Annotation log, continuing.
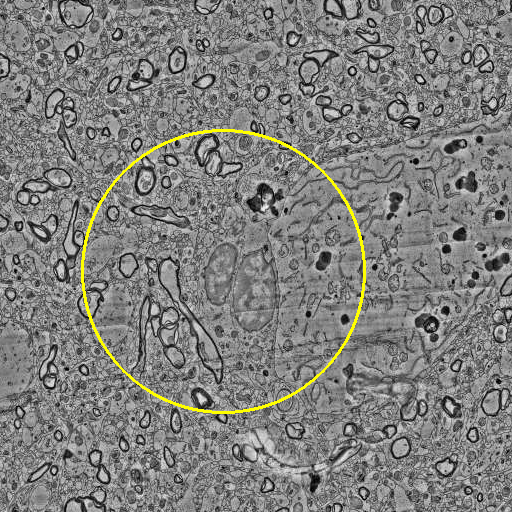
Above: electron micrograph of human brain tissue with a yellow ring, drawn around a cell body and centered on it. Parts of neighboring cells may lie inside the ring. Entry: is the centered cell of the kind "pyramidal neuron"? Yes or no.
No, the centered cell is of another kind.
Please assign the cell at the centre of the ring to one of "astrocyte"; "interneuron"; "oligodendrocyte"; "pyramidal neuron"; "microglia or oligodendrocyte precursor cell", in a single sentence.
Instead, the ring surrounds an oligodendrocyte in this picture.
